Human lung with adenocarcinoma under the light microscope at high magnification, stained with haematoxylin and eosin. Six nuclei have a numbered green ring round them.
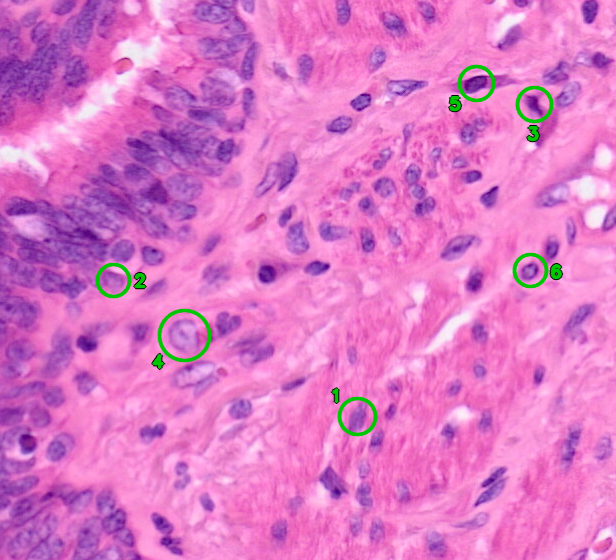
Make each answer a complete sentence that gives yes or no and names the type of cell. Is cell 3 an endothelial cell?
No, cell 3 is not to be taken for an endothelial cell; it is a plasma cell.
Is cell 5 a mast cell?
No, cell 5 should be read as a plasma cell instead of a mast cell.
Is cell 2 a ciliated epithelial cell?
Yes, the cell that goes by number 2 is a ciliated epithelial cell.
